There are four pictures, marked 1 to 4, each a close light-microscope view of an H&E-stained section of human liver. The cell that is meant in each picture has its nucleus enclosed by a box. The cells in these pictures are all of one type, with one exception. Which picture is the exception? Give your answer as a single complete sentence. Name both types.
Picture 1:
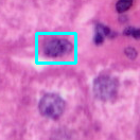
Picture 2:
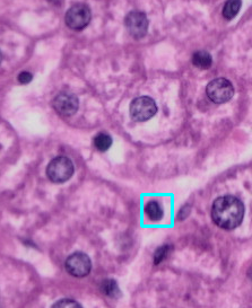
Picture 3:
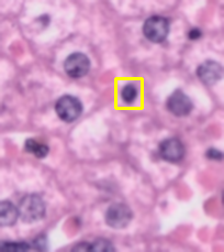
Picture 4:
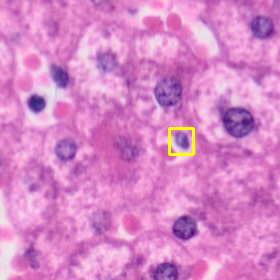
The others show lymphocytes, but picture 1 shows a Kupffer cell.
